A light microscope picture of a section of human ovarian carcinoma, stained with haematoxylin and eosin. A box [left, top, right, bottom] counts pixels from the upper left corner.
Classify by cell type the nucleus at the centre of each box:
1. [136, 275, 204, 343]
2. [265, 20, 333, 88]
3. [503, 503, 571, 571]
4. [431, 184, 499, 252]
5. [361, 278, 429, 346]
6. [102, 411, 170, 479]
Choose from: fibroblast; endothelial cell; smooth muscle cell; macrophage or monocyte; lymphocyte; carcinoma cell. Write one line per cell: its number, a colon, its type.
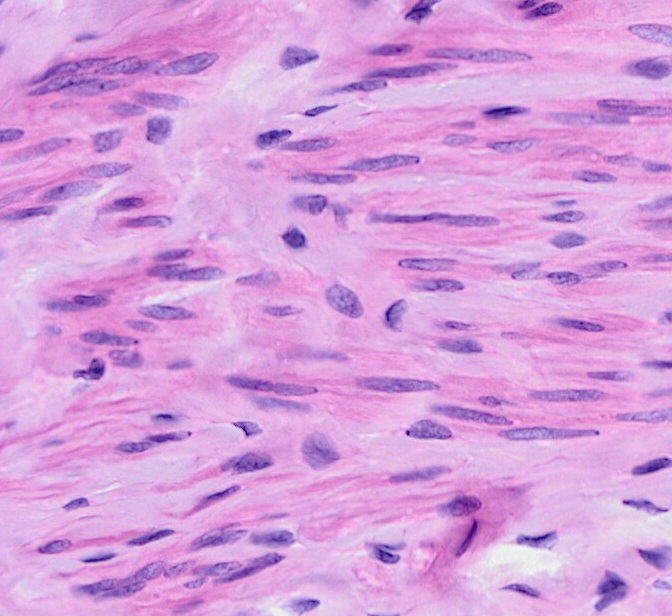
1: smooth muscle cell
2: fibroblast
3: fibroblast
4: smooth muscle cell
5: fibroblast
6: smooth muscle cell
